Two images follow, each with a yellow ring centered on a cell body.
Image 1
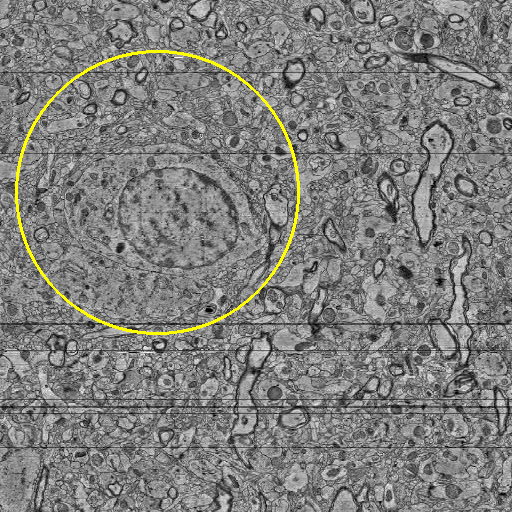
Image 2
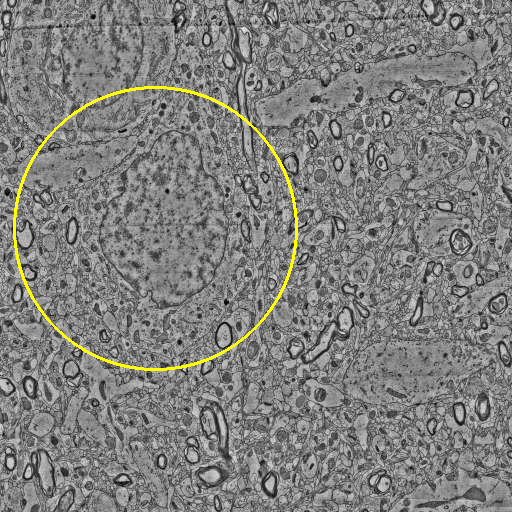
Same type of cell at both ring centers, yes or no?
yes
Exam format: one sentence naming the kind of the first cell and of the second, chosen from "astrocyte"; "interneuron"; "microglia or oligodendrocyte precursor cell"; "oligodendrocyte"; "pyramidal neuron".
The first and the second cell are each an interneuron.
